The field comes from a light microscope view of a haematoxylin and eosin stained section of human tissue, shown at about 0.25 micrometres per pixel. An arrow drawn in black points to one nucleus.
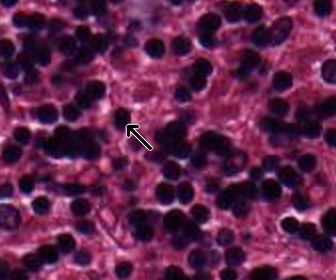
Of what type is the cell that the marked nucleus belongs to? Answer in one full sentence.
The marked nucleus is located in a cerebellar granule cell.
